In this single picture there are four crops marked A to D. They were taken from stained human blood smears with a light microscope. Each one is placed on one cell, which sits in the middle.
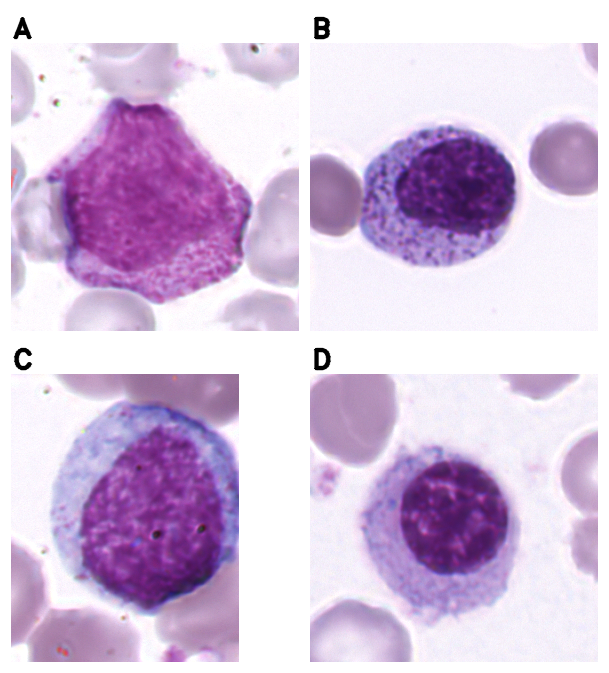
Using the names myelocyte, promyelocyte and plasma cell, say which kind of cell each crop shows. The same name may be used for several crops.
A: myelocyte
B: myelocyte
C: promyelocyte
D: plasma cell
